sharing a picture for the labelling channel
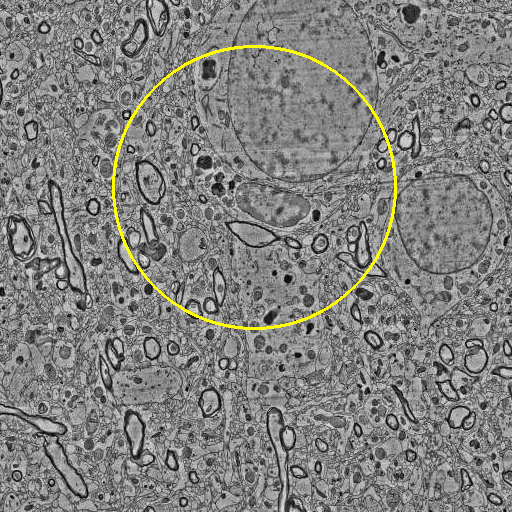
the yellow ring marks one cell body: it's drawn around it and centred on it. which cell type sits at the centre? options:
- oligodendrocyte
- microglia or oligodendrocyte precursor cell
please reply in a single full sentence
In the picture, the cell at the ring's centre is a microglial cell or oligodendrocyte precursor cell, going by the list.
